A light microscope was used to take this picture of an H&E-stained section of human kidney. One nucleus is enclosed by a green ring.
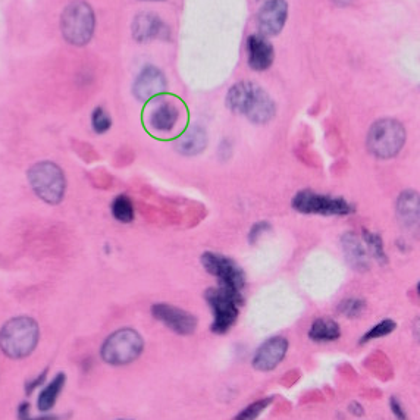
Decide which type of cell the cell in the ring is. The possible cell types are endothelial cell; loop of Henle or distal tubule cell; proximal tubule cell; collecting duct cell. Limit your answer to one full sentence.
In this field of tissue, the cell in the ring is a collecting duct cell.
